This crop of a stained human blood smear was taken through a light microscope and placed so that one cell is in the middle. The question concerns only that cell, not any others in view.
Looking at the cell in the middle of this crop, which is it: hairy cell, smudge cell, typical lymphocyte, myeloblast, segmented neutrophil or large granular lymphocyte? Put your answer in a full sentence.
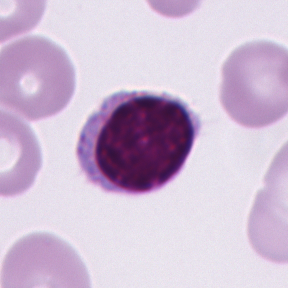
This crop is built around a typical lymphocyte at its centre.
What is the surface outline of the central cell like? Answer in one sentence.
Irregular rather than smooth, the cell margin shows ragged areas or projections.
